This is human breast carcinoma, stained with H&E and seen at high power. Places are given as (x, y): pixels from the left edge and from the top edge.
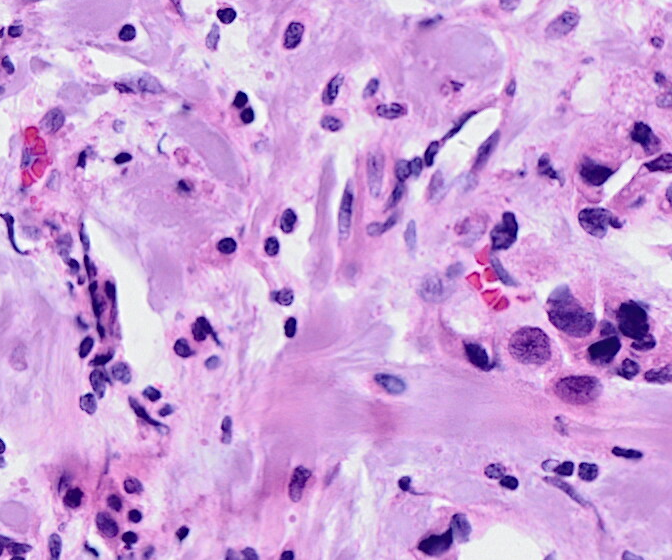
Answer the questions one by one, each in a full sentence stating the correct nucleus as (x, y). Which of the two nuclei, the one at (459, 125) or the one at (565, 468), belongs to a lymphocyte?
The one belonging to a lymphocyte is the nucleus at (565, 468), not the other.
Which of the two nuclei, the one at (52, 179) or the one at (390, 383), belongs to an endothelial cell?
Lying within an endothelial cell is the nucleus at (52, 179).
